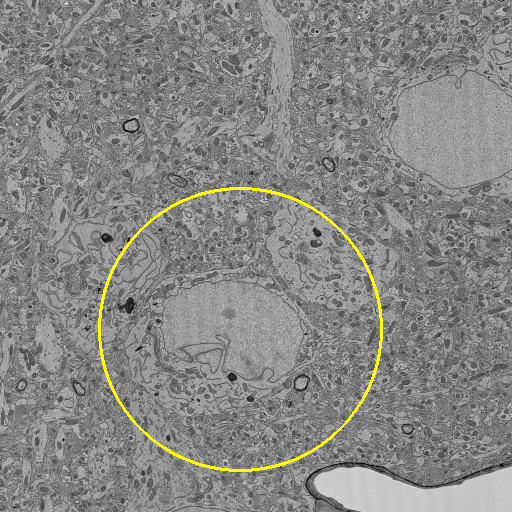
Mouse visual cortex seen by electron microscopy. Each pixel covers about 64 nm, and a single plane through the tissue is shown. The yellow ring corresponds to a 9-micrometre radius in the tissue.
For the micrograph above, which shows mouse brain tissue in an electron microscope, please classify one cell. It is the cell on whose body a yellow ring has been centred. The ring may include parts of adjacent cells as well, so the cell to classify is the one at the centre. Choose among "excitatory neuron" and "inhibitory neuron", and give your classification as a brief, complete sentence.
I classify this cell as an inhibitory neuron.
